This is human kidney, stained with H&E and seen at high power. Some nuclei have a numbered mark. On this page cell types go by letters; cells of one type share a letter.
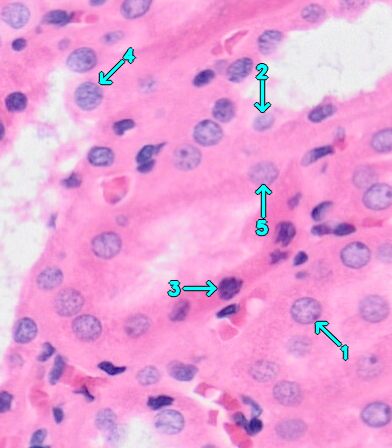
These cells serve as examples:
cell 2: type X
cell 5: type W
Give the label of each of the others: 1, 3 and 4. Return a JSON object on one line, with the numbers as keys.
{"1": "type W", "3": "type W", "4": "type X"}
